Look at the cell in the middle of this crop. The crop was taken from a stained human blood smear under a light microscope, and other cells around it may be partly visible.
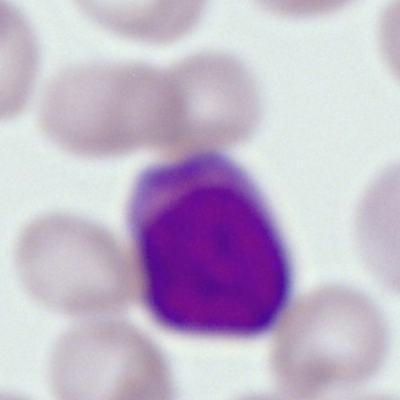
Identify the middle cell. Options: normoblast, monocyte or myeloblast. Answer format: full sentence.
The center cell of this crop is a myeloblast.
